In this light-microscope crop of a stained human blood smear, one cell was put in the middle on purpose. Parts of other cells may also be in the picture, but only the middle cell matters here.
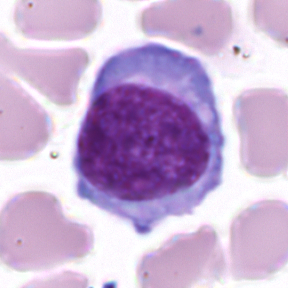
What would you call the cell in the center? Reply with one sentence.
The single cell at the center of the crop is a plasma cell.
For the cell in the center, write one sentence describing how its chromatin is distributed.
Chromatin texture is fine, and coarse clumps are absent.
